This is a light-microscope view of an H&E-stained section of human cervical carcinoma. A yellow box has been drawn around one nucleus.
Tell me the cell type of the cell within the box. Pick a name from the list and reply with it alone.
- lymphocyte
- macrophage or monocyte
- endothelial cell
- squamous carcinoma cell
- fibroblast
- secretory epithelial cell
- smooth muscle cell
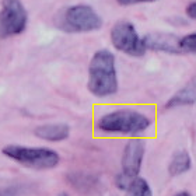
fibroblast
